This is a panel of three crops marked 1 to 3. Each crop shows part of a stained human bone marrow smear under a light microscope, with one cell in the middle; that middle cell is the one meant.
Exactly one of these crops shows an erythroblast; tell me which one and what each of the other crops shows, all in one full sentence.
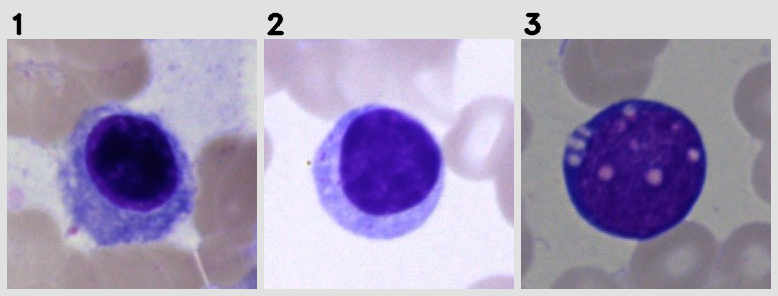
Concerning crop 1, the cell shown is an erythroblast, whereas crop 2 is a lymphocyte and crop 3 is a blast.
